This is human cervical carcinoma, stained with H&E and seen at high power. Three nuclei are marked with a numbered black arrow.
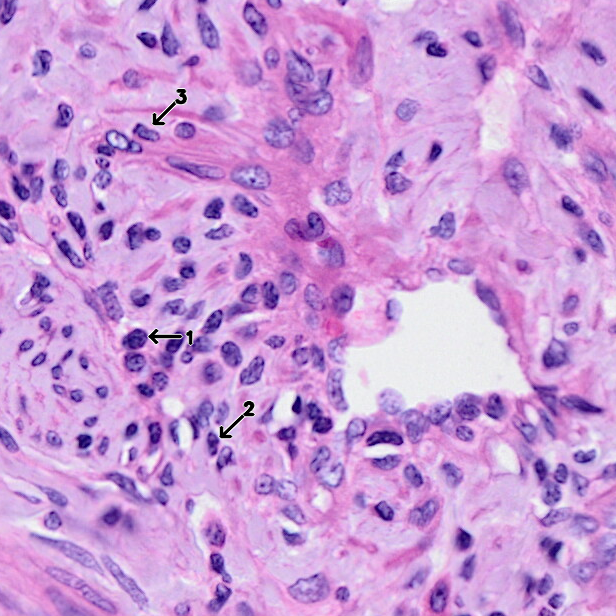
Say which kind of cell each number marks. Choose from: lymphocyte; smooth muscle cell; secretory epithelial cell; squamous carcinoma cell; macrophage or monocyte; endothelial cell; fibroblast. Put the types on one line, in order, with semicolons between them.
lymphocyte; lymphocyte; smooth muscle cell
